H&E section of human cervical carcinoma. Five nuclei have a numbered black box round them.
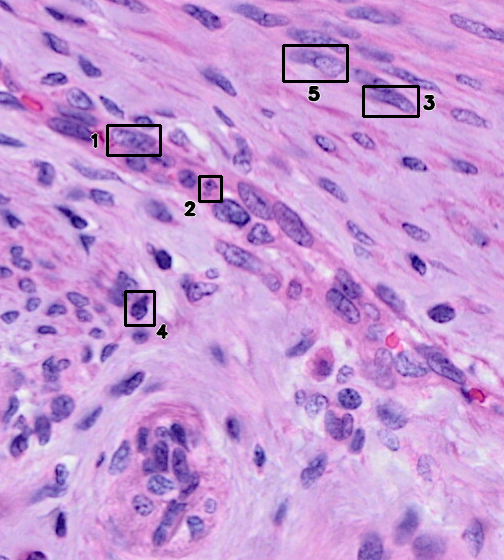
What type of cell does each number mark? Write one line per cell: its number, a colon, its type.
1: endothelial cell
2: endothelial cell
3: smooth muscle cell
4: lymphocyte
5: smooth muscle cell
